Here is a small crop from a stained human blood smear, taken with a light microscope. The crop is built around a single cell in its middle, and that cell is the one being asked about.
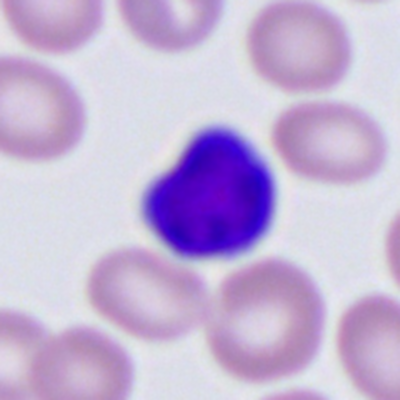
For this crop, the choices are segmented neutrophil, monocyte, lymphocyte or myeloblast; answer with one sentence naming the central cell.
The single cell at the center of the crop is a lymphocyte.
